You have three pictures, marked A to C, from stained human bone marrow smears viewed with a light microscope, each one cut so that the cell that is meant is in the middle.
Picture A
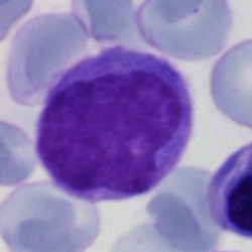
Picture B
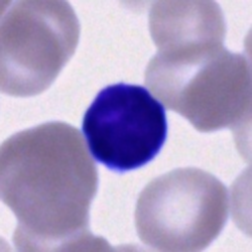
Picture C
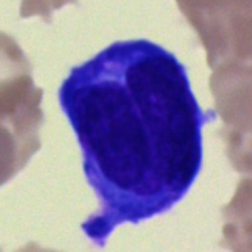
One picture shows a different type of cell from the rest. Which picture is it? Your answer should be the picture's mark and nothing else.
B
